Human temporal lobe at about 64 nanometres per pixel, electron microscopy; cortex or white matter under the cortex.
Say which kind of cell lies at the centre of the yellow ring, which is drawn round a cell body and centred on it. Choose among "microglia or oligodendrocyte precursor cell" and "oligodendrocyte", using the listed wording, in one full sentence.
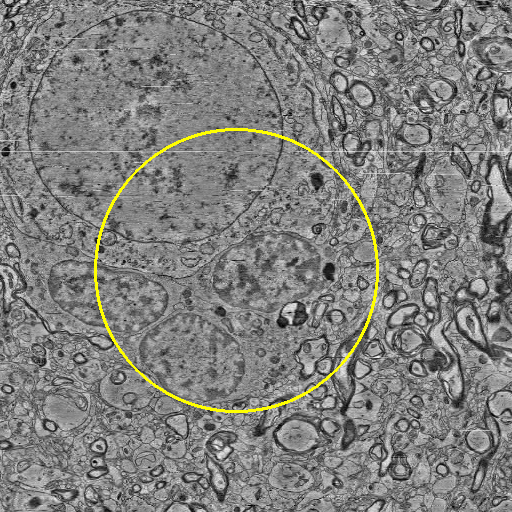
Going by the list, the cell at the yellow ring's centre is an oligodendrocyte.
